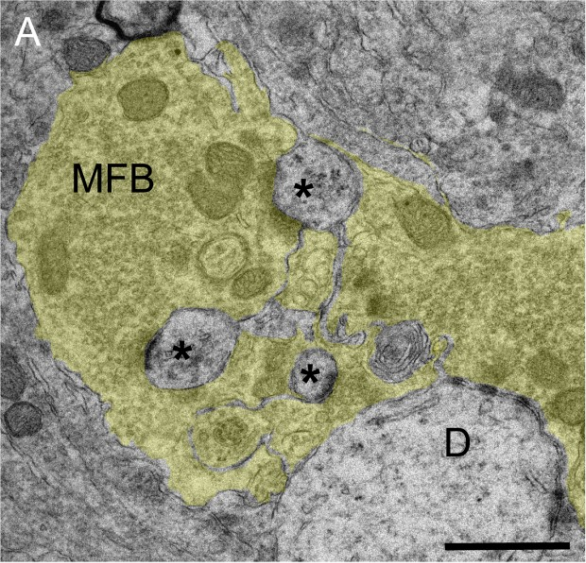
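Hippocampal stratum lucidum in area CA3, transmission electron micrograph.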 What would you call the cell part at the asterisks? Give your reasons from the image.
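Each asterisk lies in a small round profile enclosed by the large yellow-highlighted terminal. These profiles have dark thickened membrane patches facing the yellow terminal. The answer: spine.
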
